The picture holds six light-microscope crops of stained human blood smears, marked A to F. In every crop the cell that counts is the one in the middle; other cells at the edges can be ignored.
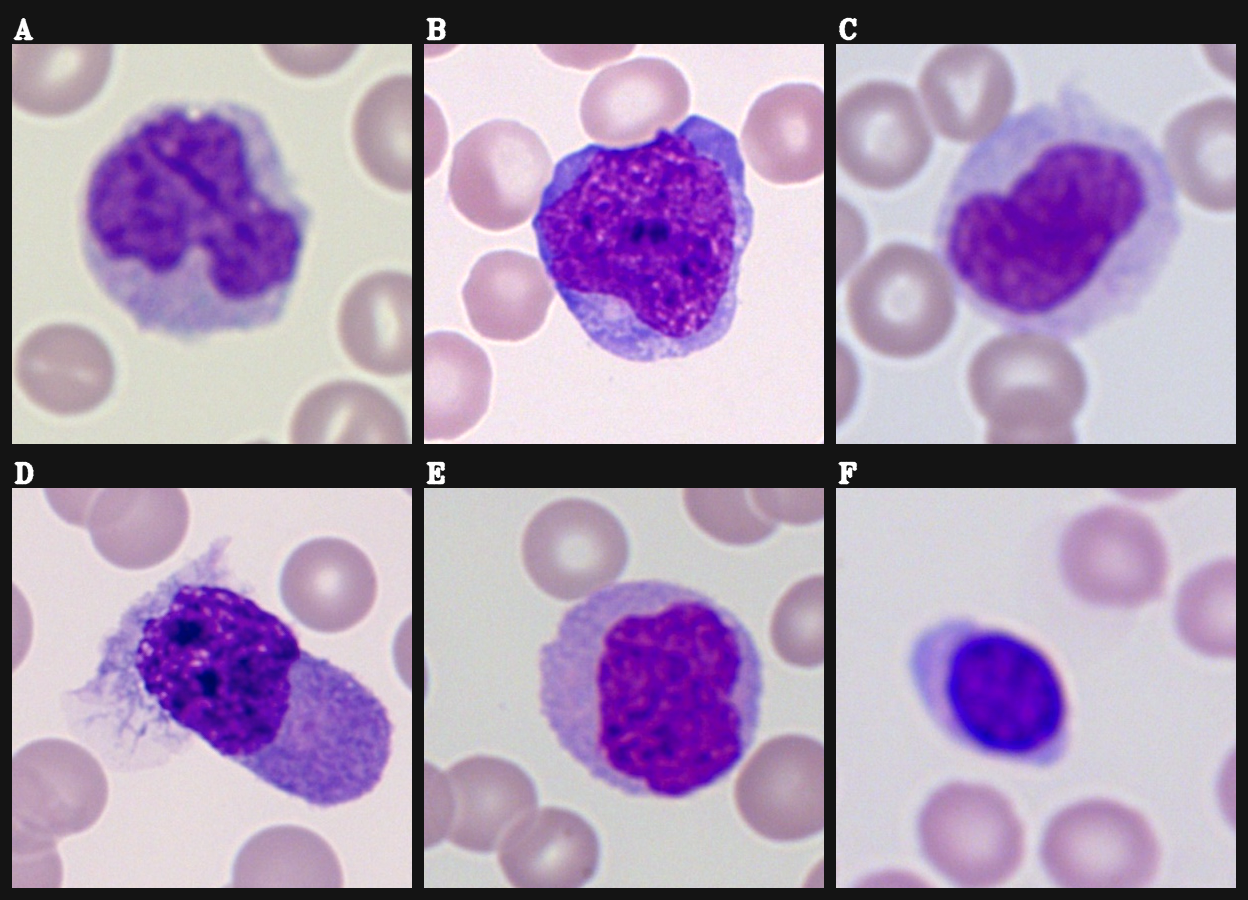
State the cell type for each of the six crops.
A: monocyte
B: myeloblast
C: monocyte
D: monocyte
E: monocyte
F: lymphocyte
